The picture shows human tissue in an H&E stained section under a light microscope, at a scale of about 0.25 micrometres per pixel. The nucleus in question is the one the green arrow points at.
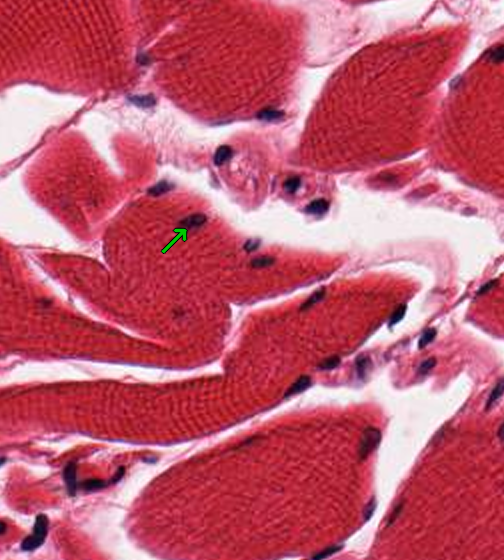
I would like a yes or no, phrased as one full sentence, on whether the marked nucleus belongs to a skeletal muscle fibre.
Yes, the marked nucleus is housed in a skeletal muscle fibre.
